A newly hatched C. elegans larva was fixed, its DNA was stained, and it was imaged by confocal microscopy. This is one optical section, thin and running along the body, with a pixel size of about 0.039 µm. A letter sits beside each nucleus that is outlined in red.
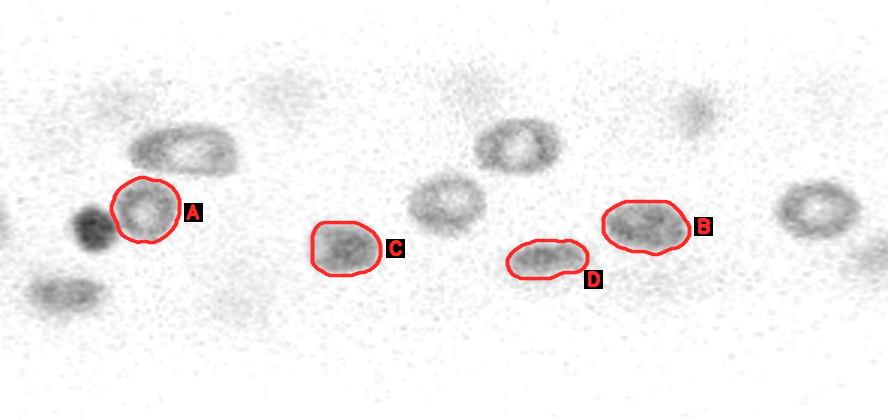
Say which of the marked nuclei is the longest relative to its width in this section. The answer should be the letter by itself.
D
